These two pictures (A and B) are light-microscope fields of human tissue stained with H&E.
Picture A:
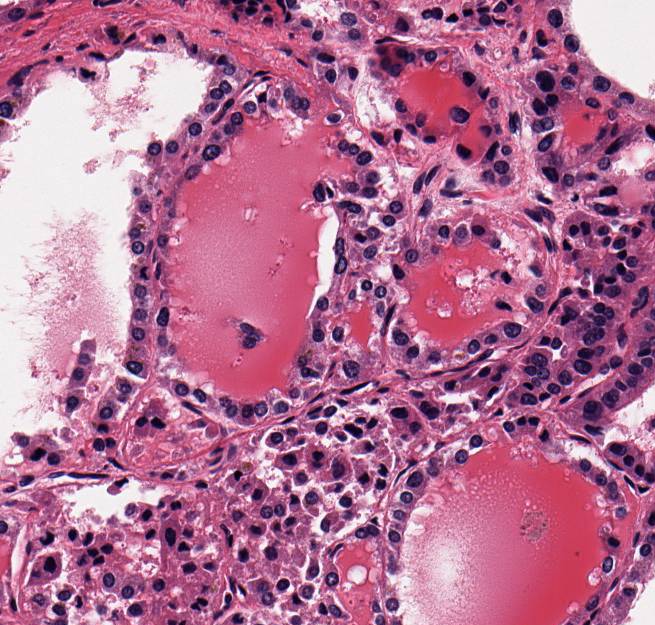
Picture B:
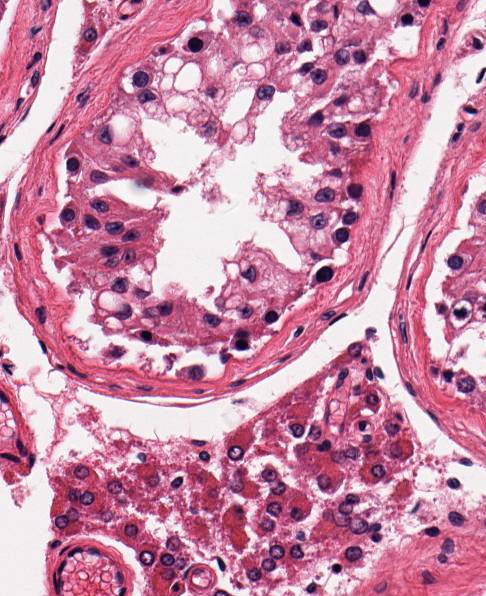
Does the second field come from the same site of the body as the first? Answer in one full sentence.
No, they differ: picture A comes from the thyroid, and picture B comes from the testis.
